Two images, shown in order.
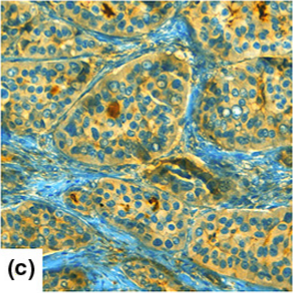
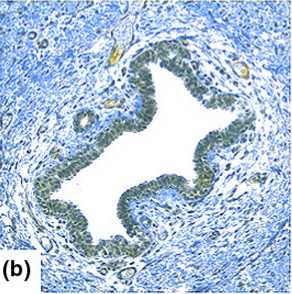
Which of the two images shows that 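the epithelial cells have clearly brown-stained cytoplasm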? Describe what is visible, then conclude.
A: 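The first image. First image: cells in solid nests show tan-brown cytoplasm. Second image: duct lining is mostly blue-grey with only faint brownish tint.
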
